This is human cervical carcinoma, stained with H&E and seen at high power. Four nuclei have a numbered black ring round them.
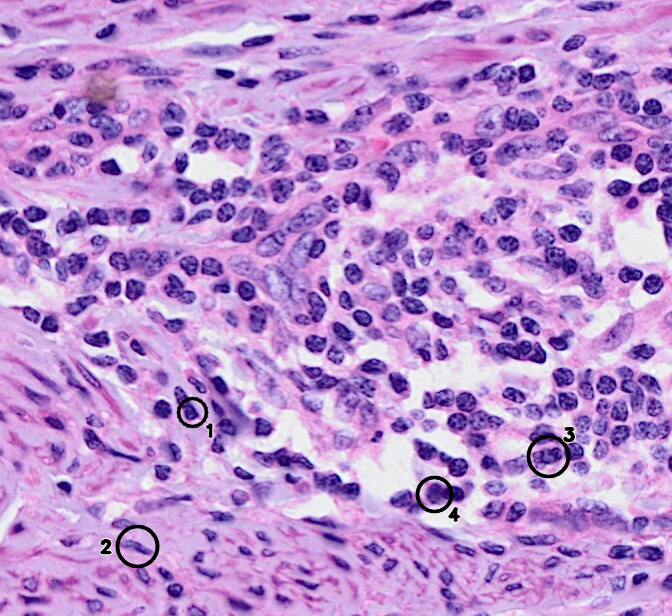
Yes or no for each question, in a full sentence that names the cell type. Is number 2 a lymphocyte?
No, it is a fibroblast that is marked with number 2, not a lymphocyte.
